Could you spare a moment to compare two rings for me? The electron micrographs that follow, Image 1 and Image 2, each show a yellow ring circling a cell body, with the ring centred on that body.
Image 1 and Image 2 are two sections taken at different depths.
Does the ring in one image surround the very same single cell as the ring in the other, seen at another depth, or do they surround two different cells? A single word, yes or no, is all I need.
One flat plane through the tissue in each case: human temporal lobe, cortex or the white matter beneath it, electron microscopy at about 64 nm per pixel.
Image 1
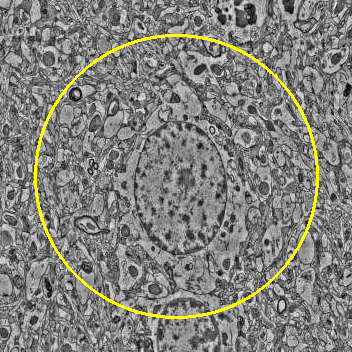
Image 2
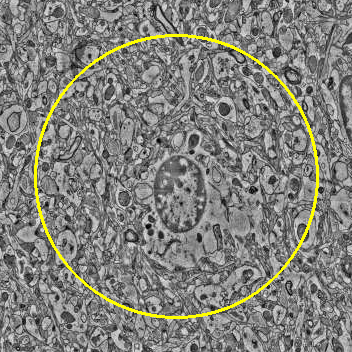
yes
